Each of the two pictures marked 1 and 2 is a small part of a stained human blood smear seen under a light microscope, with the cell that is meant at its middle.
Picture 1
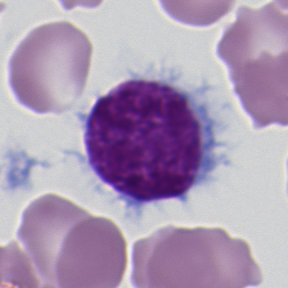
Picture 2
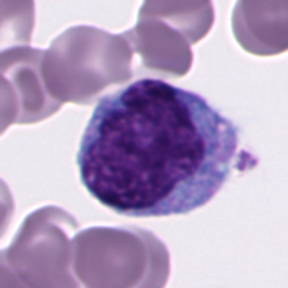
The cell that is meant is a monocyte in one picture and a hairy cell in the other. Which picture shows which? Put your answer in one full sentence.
Picture 1 shows a hairy cell and picture 2 shows a monocyte.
